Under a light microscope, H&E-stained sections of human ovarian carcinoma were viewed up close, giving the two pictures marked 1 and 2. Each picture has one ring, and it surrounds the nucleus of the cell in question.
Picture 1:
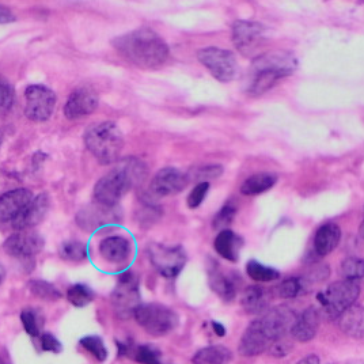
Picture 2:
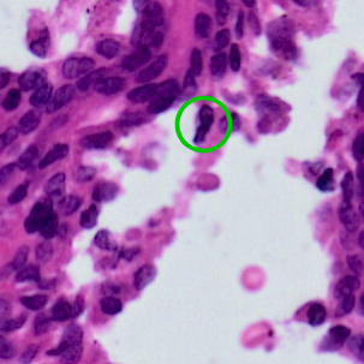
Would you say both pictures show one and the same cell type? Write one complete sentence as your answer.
Yes; the cells in both pictures are “macrophages or monocytes”.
